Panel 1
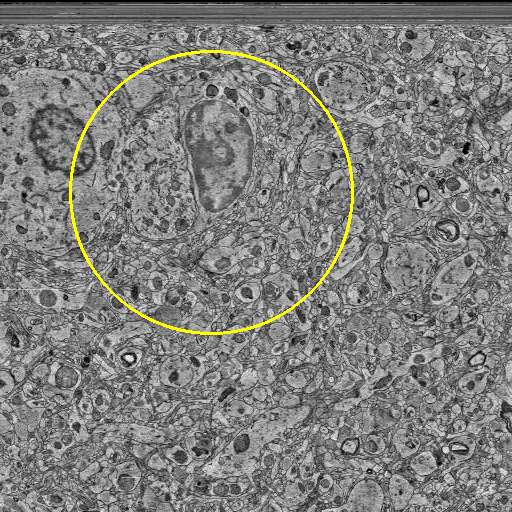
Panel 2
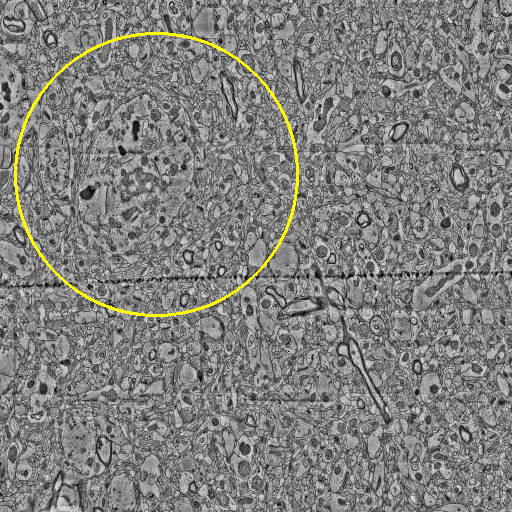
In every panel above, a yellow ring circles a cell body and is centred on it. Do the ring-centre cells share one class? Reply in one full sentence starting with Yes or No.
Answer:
No, the two cells at the ring centres in the panels belong to two classes.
